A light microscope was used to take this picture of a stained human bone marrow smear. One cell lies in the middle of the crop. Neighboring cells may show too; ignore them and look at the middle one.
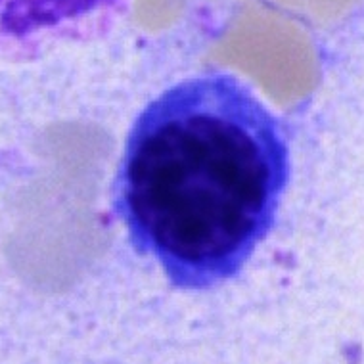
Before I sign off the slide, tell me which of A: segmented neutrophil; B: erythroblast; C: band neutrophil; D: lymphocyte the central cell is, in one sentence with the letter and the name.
Option B is the correct option, with the middle cell being an erythroblast.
